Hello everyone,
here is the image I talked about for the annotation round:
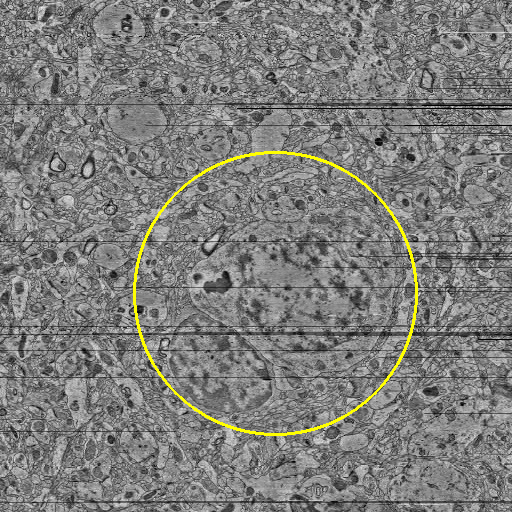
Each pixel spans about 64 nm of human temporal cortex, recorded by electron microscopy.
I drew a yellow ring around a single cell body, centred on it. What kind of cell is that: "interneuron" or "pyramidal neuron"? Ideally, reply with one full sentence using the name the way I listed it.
The cell your yellow ring is centred on is an interneuron, going by your list.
